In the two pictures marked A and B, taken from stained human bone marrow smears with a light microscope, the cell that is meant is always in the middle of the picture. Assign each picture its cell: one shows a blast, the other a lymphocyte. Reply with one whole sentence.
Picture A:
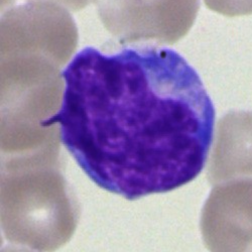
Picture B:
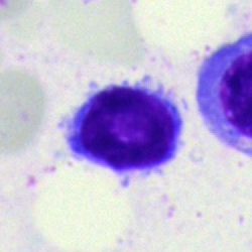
Picture A shows a blast and picture B shows a lymphocyte.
